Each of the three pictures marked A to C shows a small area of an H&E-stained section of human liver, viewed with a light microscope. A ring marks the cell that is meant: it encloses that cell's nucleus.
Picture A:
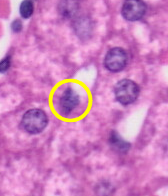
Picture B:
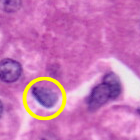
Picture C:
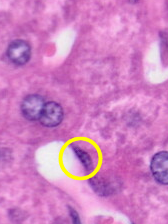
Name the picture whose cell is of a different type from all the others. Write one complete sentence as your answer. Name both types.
Picture C differs, because its cell is a “fibroblast or stellate cell” and the rest are endothelial cells.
